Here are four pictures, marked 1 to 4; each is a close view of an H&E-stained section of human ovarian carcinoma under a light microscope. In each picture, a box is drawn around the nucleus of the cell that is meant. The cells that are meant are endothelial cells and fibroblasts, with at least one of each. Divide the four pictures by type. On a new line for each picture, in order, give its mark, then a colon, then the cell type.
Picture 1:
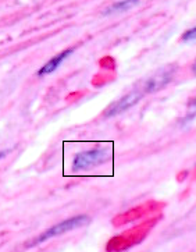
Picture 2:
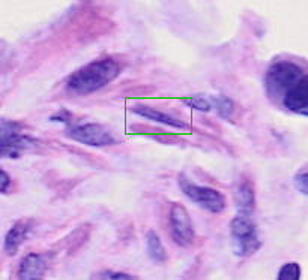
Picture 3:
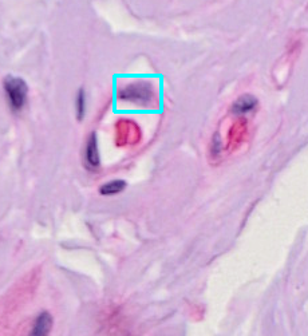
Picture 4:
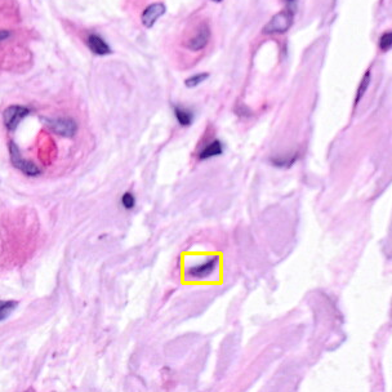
1: fibroblast
2: fibroblast
3: endothelial cell
4: endothelial cell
